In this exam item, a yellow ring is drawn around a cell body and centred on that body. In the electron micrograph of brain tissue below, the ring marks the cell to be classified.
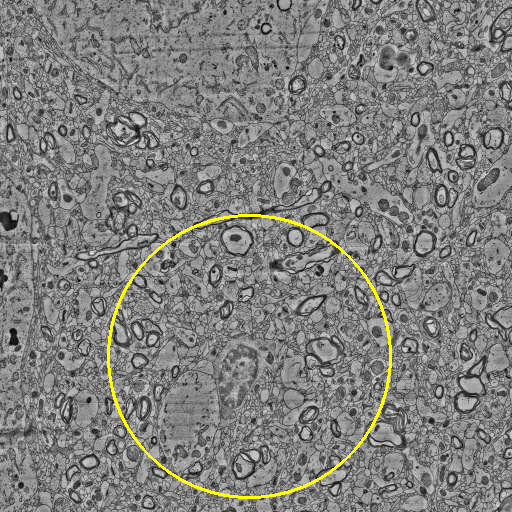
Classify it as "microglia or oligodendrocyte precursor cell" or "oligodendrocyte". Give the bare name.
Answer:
oligodendrocyte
